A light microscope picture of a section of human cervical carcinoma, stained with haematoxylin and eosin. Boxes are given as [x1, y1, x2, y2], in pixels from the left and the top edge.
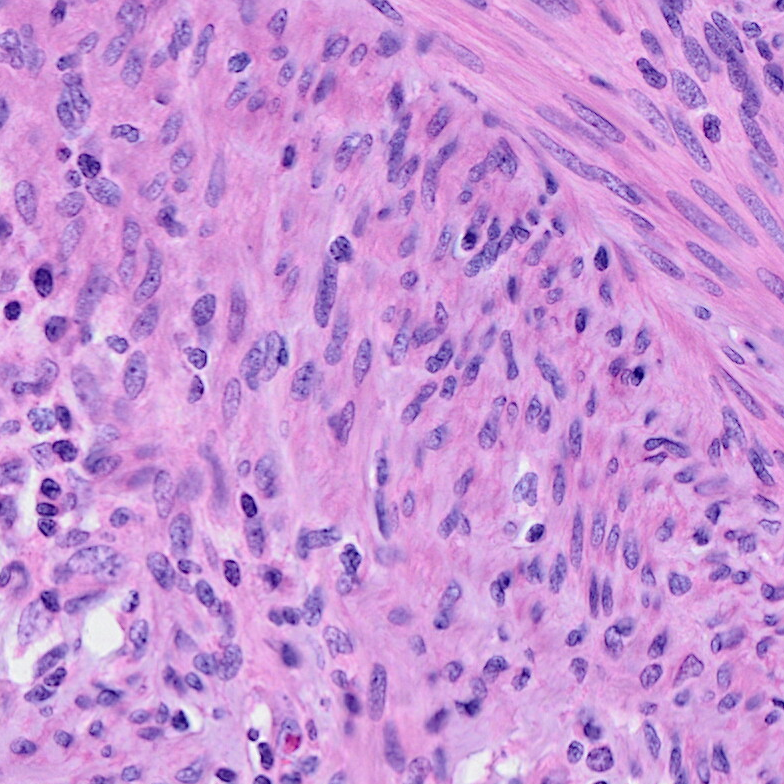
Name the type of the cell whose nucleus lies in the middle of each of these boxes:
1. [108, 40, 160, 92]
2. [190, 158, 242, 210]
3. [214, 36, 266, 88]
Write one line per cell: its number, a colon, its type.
1: smooth muscle cell
2: smooth muscle cell
3: lymphocyte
